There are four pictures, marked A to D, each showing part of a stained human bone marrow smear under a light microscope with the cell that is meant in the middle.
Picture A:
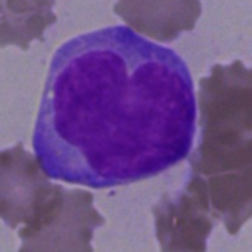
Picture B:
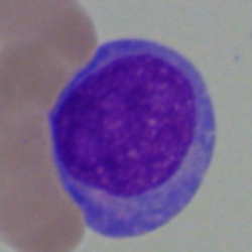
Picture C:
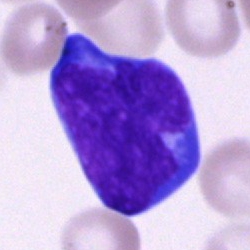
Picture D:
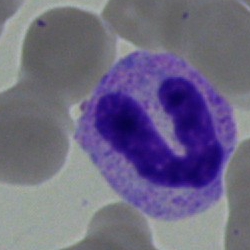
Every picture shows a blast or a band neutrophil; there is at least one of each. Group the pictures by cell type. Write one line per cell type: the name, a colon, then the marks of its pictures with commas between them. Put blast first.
blast: A, B, C
band neutrophil: D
